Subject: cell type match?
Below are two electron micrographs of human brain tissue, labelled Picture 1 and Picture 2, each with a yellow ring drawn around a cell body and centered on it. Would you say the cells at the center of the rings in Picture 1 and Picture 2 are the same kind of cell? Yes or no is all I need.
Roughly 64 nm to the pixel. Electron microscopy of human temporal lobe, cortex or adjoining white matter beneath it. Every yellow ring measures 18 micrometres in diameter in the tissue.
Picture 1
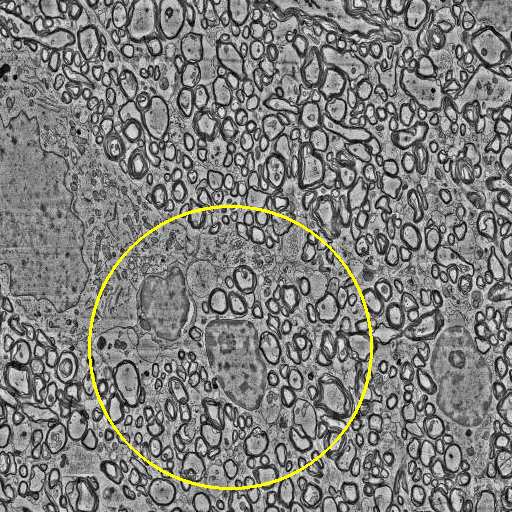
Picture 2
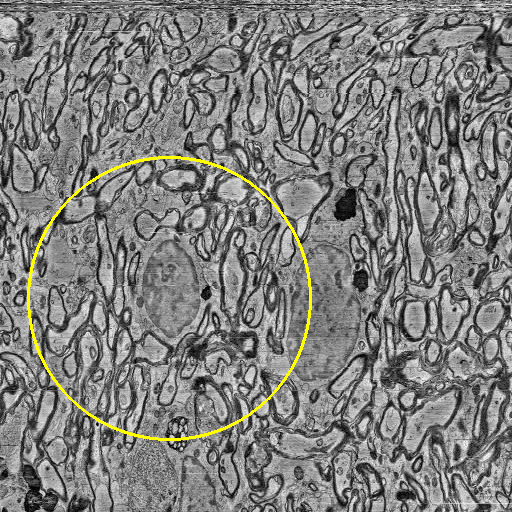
no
